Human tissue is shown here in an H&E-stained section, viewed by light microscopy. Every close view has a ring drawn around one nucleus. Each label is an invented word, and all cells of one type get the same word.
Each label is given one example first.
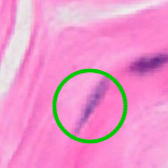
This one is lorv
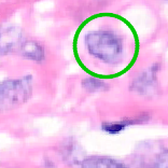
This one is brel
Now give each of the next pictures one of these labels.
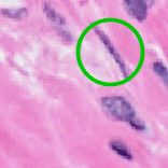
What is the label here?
lorv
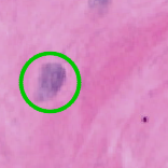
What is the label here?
lorv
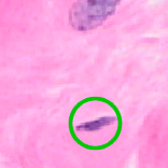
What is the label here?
lorv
